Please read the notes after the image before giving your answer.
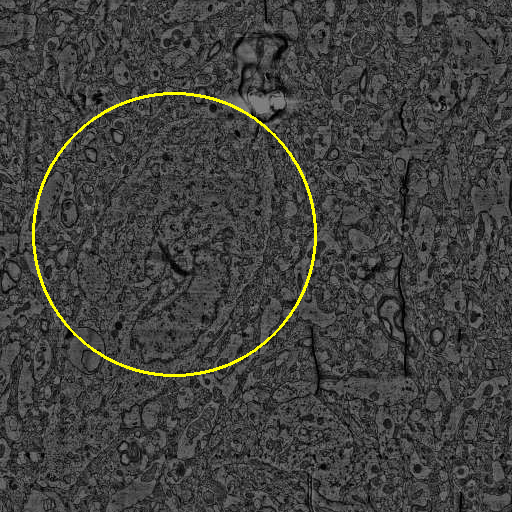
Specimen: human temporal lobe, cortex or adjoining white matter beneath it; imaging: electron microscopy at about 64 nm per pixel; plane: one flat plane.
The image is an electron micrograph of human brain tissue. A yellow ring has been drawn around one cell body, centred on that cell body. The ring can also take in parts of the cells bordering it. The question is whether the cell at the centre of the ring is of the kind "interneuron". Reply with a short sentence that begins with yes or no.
Yes, the cell at the centre is of that kind.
